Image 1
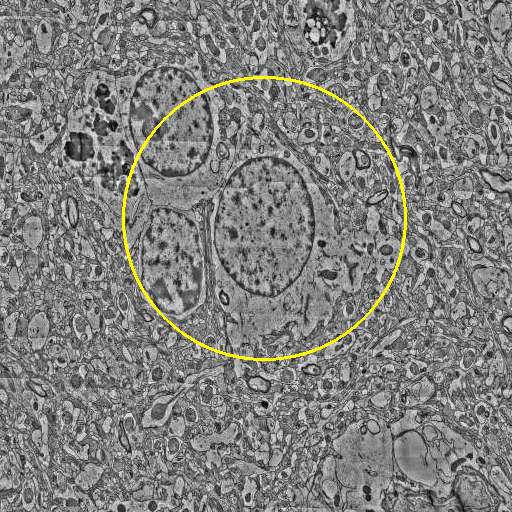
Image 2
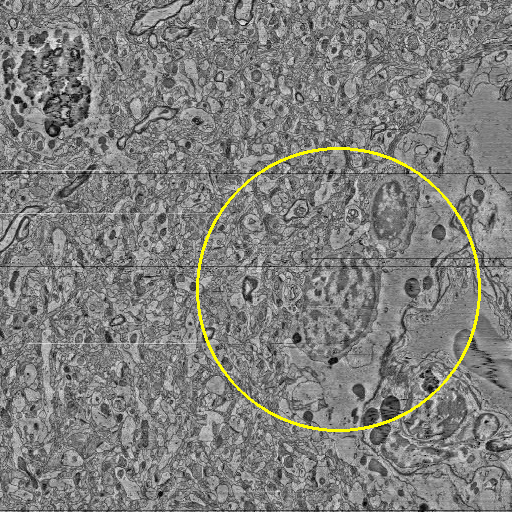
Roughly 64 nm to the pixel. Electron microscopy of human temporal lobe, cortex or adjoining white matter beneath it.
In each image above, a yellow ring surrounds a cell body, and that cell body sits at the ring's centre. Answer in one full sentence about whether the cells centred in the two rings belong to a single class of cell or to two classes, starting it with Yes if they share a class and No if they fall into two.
No, the cells centred in the two yellow rings belong to two classes of cell.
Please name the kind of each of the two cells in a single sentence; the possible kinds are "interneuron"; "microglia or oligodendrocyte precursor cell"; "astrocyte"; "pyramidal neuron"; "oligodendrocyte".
In the first picture the ring is centred on an astrocyte, and in the second on an oligodendrocyte.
